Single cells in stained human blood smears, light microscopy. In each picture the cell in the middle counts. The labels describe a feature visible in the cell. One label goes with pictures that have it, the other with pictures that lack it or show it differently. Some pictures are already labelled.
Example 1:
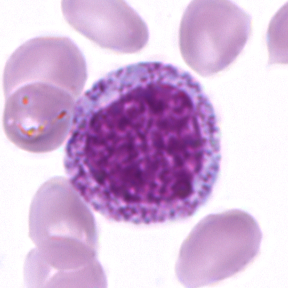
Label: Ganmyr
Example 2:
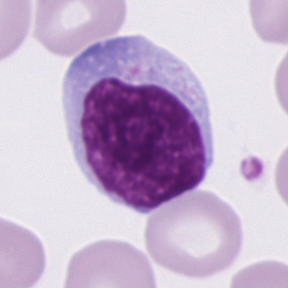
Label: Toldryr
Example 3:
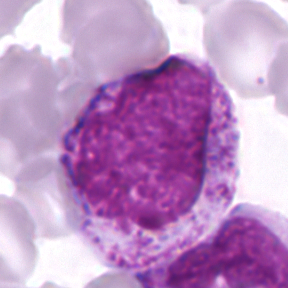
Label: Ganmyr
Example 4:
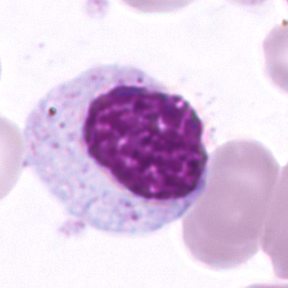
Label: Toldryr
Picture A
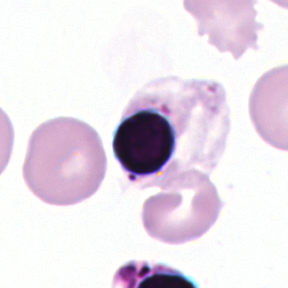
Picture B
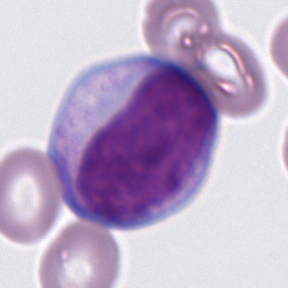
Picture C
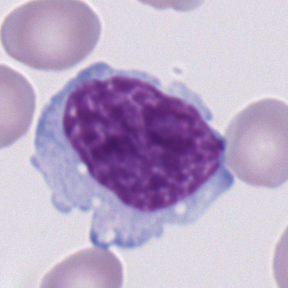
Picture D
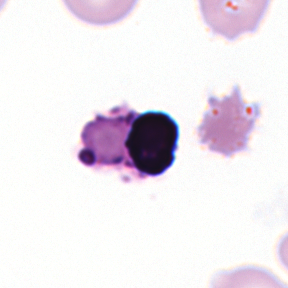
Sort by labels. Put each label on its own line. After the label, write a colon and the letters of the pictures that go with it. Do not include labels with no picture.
Toldryr: A, B, C, D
